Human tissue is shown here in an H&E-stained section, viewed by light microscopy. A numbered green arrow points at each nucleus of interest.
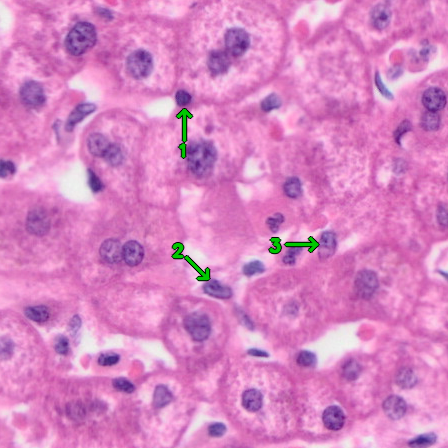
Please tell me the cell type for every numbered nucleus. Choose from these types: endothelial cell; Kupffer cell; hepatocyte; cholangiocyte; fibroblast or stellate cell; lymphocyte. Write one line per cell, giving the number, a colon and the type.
1: fibroblast or stellate cell
2: Kupffer cell
3: Kupffer cell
